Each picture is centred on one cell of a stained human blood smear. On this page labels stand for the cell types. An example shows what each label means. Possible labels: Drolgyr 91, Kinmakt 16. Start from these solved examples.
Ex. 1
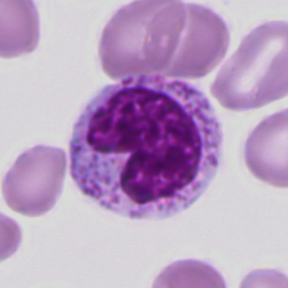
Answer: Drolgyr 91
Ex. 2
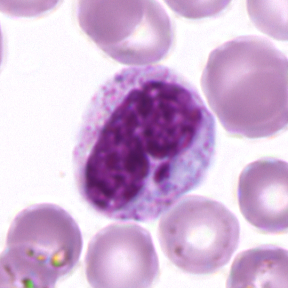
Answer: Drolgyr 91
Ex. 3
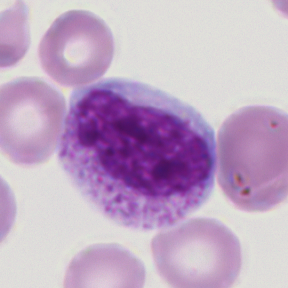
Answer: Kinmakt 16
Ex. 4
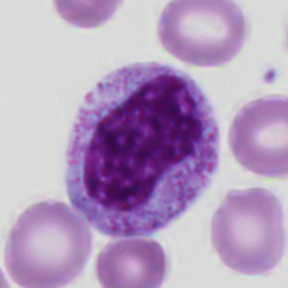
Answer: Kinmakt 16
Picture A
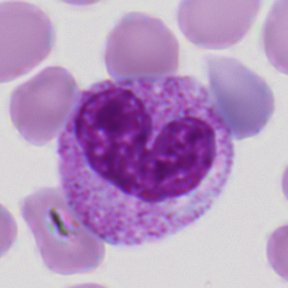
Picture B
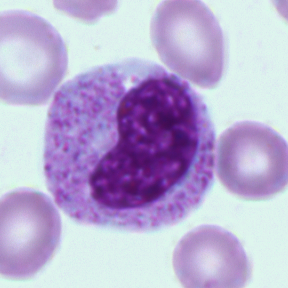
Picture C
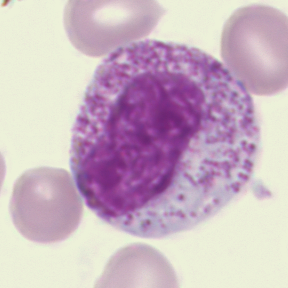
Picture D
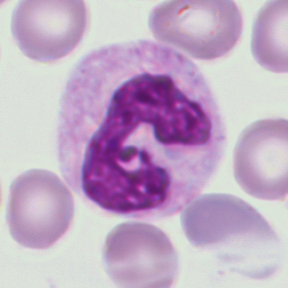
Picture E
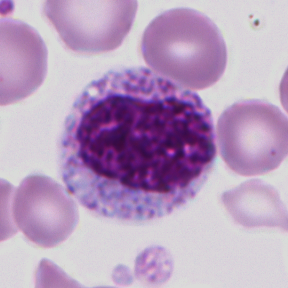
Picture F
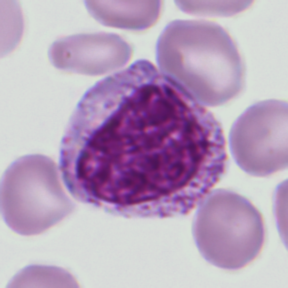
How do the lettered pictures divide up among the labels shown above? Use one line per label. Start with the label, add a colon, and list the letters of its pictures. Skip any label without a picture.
Drolgyr 91: A, D
Kinmakt 16: B, C, E, F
